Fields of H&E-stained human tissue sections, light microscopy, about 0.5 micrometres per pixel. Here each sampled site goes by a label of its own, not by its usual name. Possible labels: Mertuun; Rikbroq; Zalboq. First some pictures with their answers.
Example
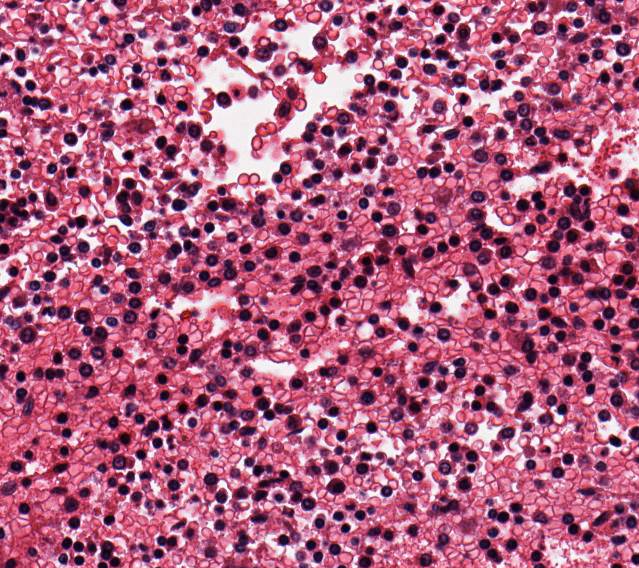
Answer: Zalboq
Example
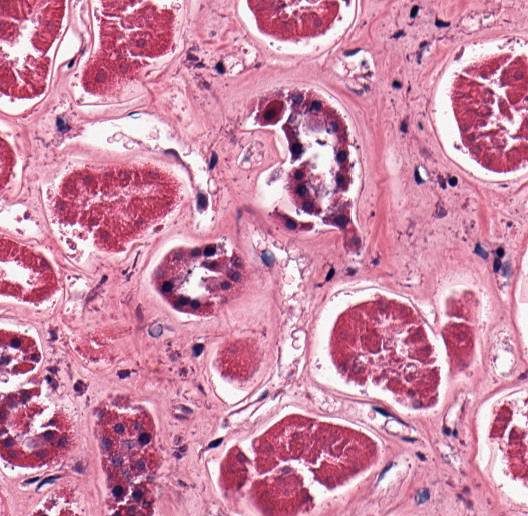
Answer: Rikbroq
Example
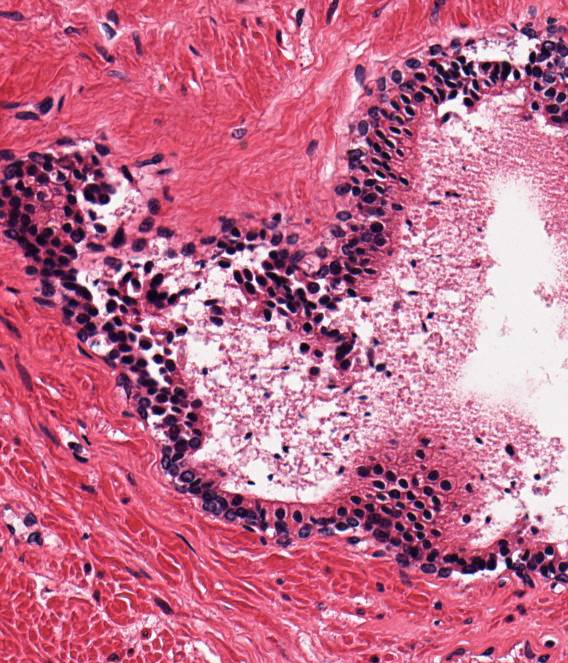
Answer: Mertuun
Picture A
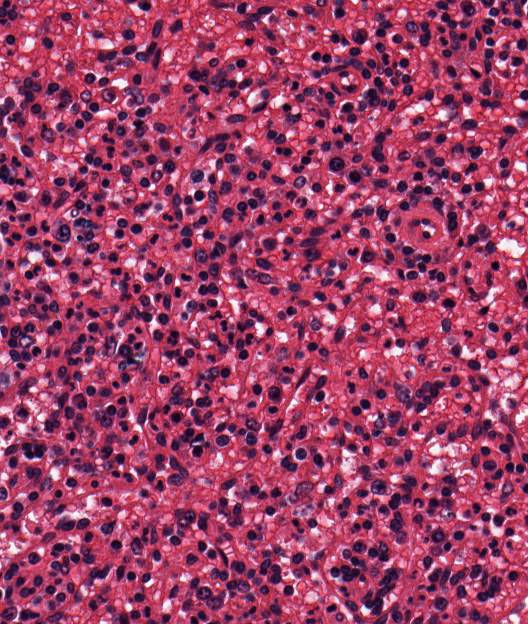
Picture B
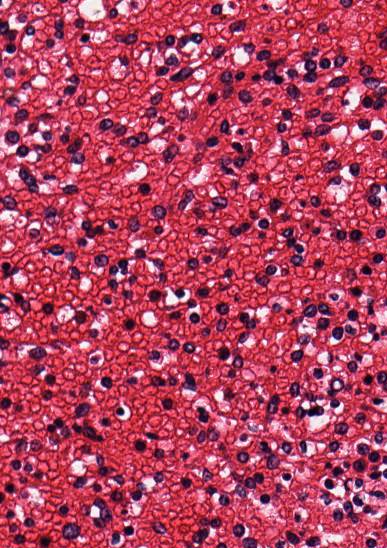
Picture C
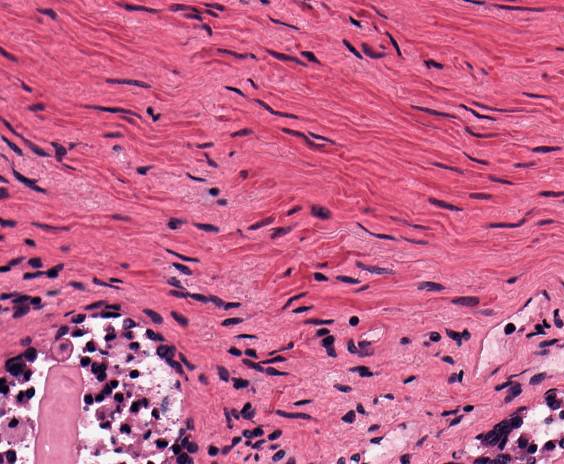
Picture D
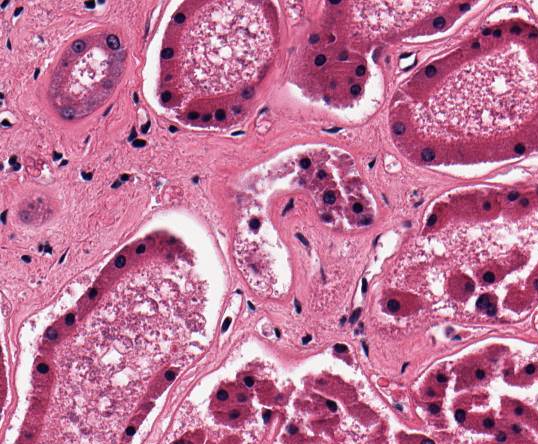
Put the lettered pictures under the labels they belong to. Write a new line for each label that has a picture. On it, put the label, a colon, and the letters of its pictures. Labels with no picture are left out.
Mertuun: C
Rikbroq: D
Zalboq: A, B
